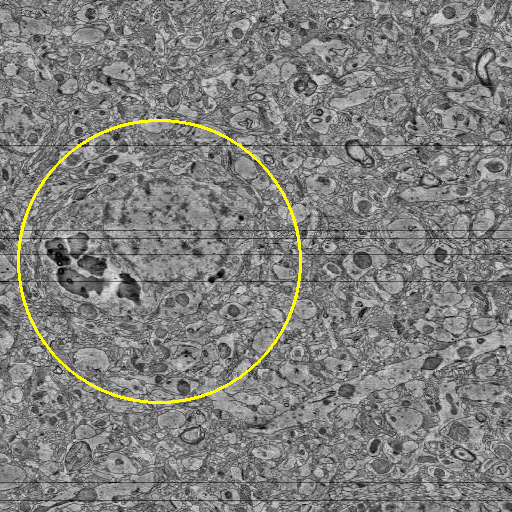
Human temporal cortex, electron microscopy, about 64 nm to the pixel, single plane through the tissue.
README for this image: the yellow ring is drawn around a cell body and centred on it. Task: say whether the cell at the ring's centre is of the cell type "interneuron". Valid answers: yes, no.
yes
